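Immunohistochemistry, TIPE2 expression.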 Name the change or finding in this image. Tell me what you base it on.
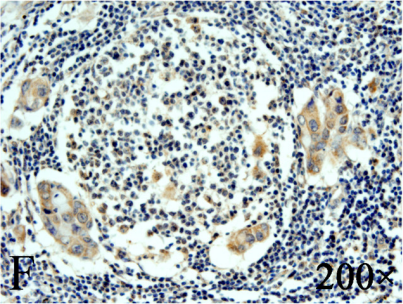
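Sheets of small dark round lymphocytes fill the field. Clusters of large cells with pale brown cytoplasm and big nuclei lie among them. On this evidence: positive lymph node.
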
